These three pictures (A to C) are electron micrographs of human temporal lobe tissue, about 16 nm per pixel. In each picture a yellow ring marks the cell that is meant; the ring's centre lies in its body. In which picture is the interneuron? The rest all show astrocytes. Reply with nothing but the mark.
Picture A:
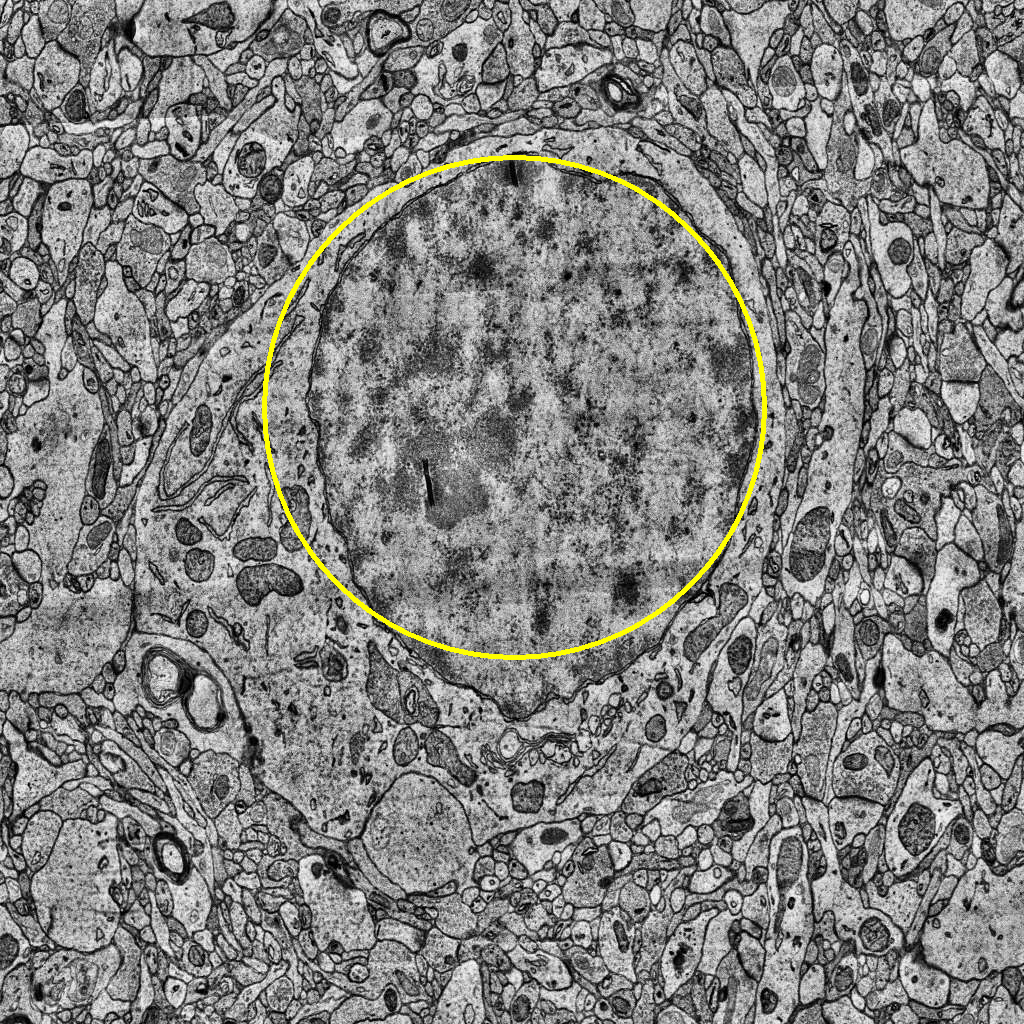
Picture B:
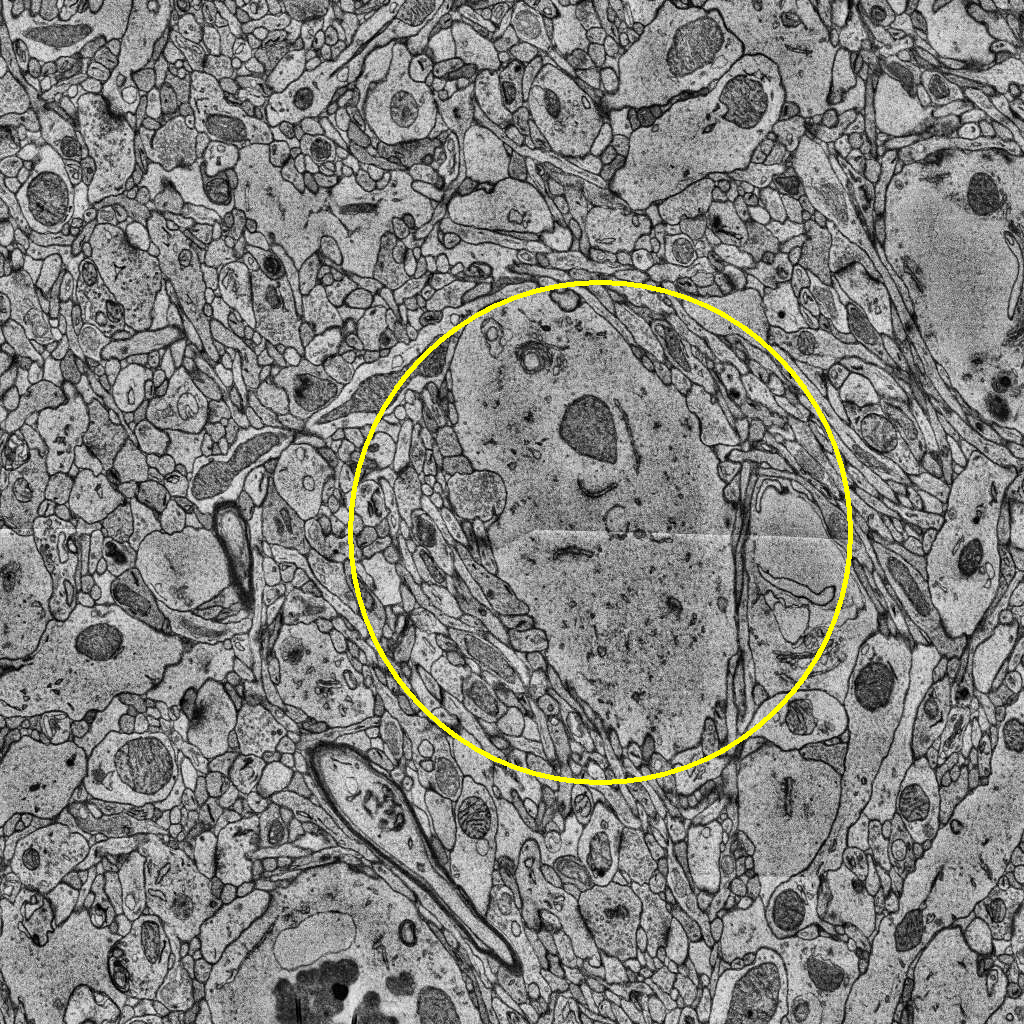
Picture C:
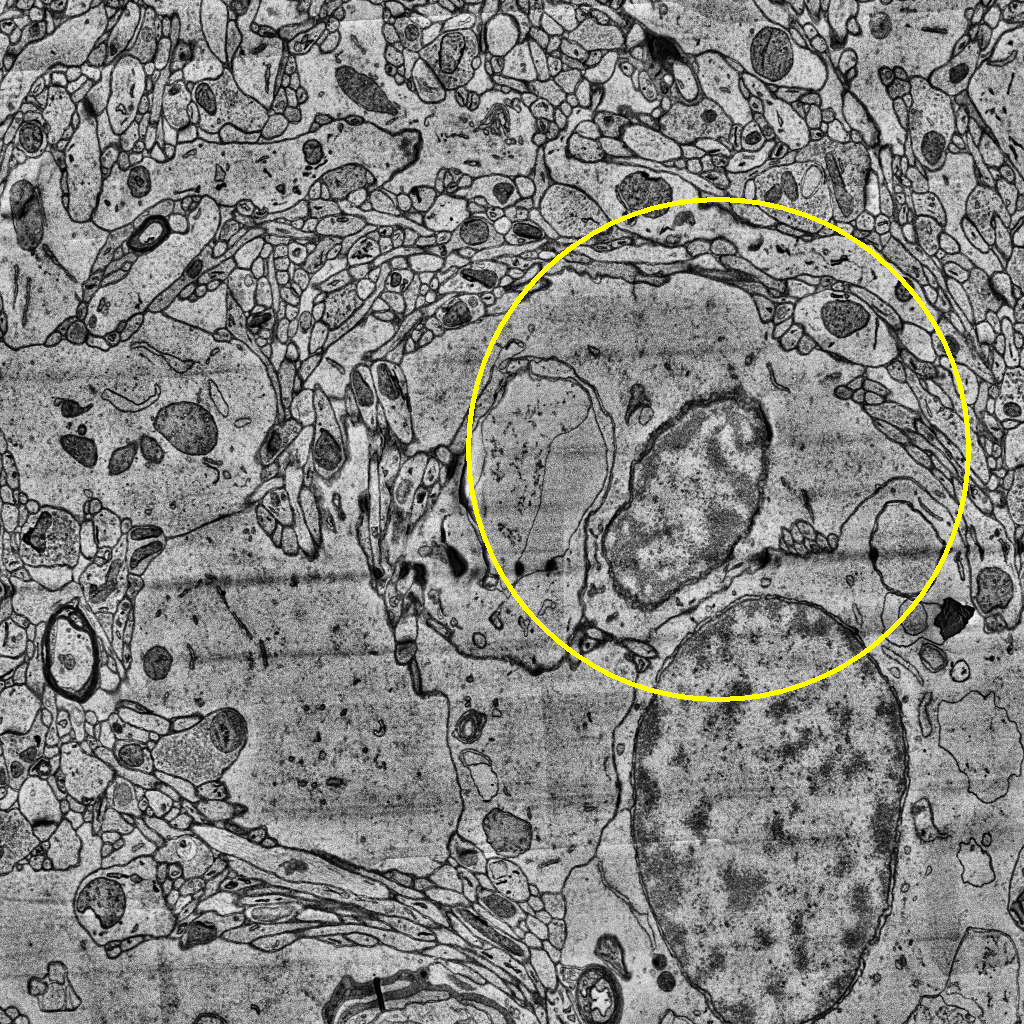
A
